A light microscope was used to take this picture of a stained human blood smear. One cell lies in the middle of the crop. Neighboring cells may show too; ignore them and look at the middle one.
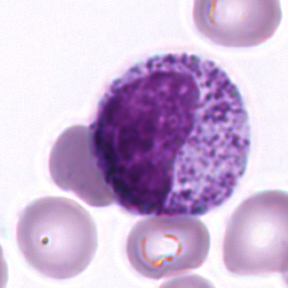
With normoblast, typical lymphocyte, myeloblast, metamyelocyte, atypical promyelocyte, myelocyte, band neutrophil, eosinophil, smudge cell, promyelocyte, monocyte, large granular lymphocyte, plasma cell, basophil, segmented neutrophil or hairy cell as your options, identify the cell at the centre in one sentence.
The cell in the middle of this crop is a metamyelocyte.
